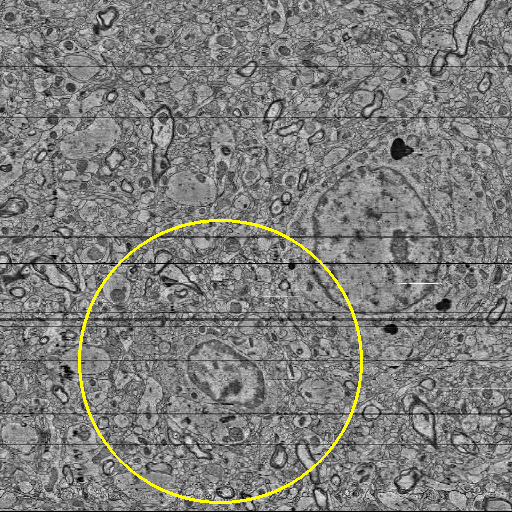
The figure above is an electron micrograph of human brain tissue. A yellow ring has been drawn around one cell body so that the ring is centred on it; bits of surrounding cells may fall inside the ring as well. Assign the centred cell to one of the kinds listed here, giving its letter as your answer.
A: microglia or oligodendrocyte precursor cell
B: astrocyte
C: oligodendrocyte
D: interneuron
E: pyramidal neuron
C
